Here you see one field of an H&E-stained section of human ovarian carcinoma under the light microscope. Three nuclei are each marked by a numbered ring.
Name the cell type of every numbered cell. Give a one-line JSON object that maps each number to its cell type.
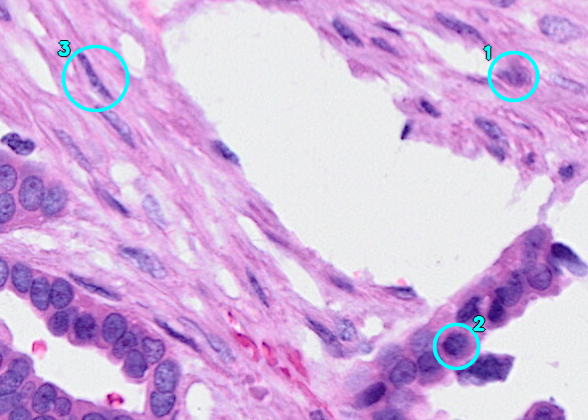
{"1": "fibroblast", "2": "carcinoma cell", "3": "fibroblast"}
